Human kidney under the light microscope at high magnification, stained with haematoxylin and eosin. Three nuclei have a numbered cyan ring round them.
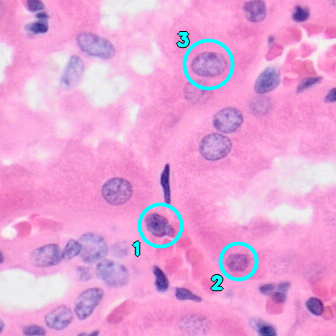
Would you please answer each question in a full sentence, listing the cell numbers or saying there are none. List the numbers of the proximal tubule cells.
Regarding the numbered cells 2 and 3, these are proximal tubule cells.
